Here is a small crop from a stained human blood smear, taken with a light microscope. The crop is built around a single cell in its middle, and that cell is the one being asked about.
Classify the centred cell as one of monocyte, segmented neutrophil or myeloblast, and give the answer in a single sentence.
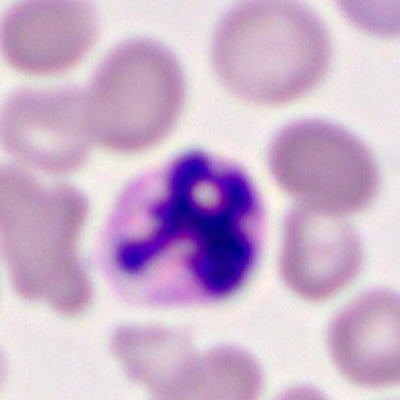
The middle cell in this particular crop is a segmented neutrophil.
